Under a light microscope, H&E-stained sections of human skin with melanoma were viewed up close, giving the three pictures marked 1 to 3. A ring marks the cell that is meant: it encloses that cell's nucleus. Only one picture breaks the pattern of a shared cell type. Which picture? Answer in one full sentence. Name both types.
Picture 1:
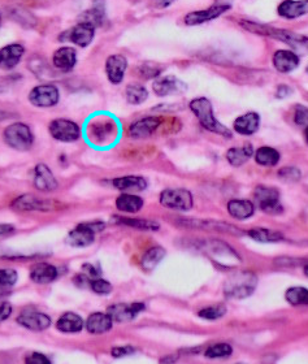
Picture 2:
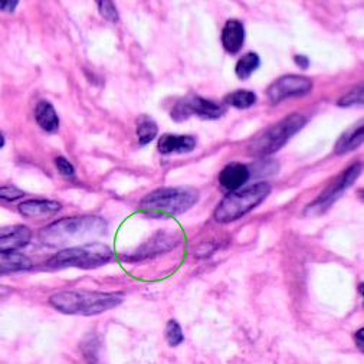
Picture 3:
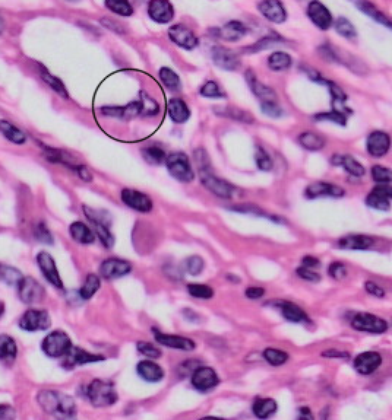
Unlike the rest, which show endothelial cells, picture 1 shows a “macrophage or monocyte”.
